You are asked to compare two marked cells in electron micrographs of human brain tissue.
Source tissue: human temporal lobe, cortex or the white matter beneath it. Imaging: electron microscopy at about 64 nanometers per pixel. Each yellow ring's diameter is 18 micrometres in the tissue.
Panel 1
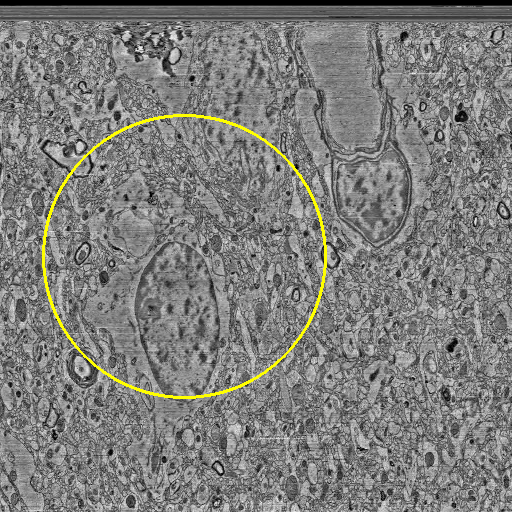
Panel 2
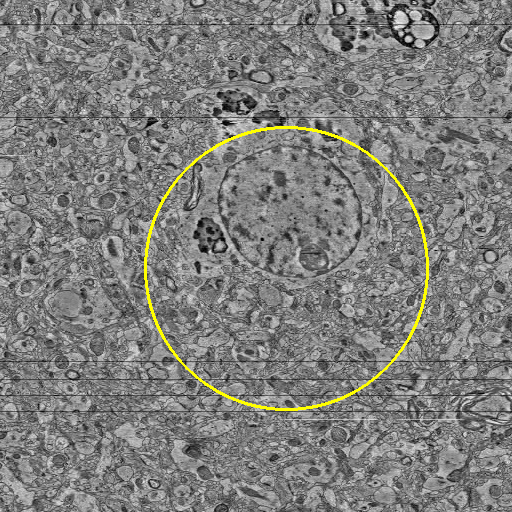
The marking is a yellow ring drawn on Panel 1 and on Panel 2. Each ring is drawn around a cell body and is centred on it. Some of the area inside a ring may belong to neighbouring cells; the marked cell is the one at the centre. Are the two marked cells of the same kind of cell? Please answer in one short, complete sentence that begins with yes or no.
Yes, the two marked cells are of the same kind.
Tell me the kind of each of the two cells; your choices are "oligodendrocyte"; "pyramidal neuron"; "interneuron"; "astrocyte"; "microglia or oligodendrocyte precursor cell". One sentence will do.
Each of the two rings is centred on an astrocyte.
